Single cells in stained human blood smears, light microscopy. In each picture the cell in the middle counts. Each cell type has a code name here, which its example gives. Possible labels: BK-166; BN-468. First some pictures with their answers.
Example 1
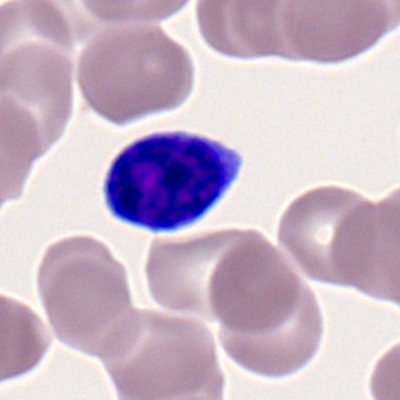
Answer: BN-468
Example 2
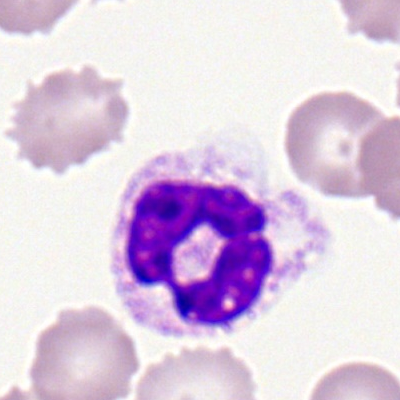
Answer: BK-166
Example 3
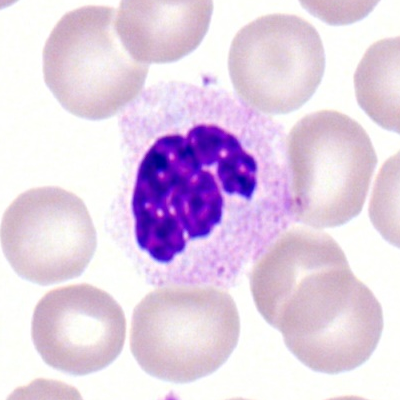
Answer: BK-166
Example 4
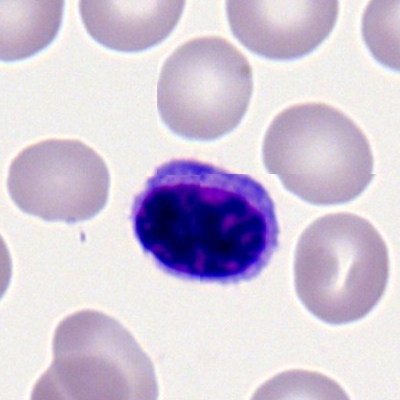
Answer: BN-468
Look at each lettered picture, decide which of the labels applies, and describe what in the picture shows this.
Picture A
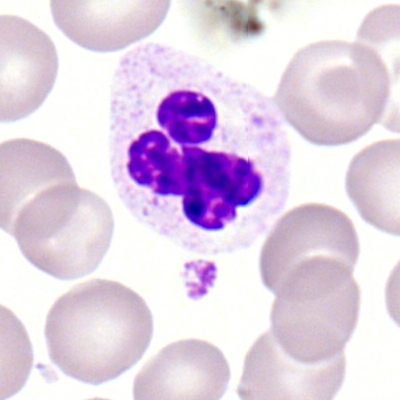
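BK-166. The cytoplasm is plentiful and very pale pinkish-lilac.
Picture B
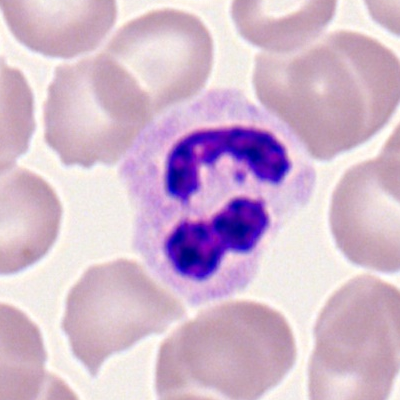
BK-166. The cytoplasm is plentiful and pale pinkish-lilac.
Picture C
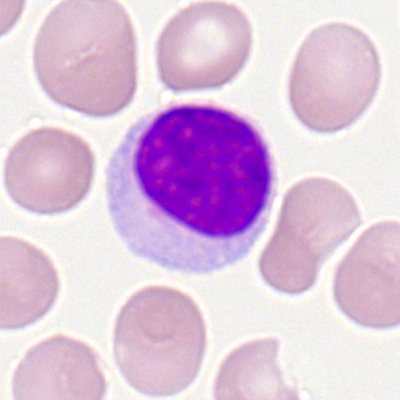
BN-468. The nucleus fills most of the cell, leaving a modest rim of cytoplasm.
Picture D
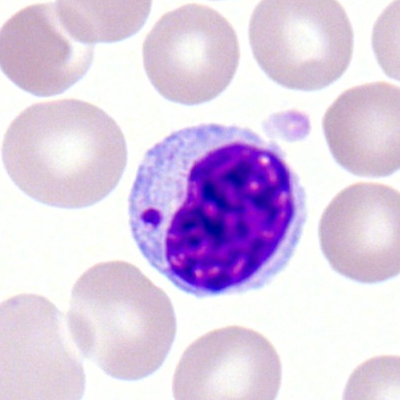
BN-468. The nucleus is kidney-shaped, with its indentation facing left.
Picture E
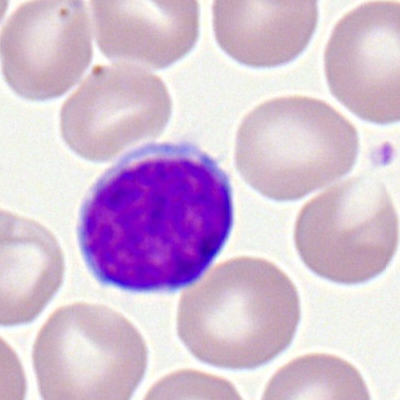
BN-468. The cytoplasm is a scant, pale blue rim around the nucleus.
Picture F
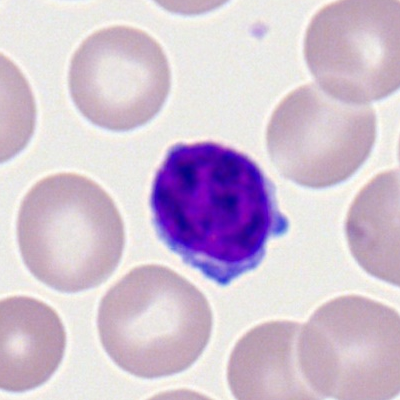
BN-468. The cytoplasm is a scant pale blue rim, widest along the lower edge.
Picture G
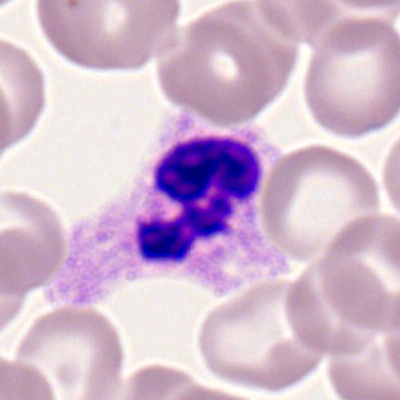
BK-166. The nucleus is divided into lobes, with a larger curved lobe above and a smaller lobe below and to the left.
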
